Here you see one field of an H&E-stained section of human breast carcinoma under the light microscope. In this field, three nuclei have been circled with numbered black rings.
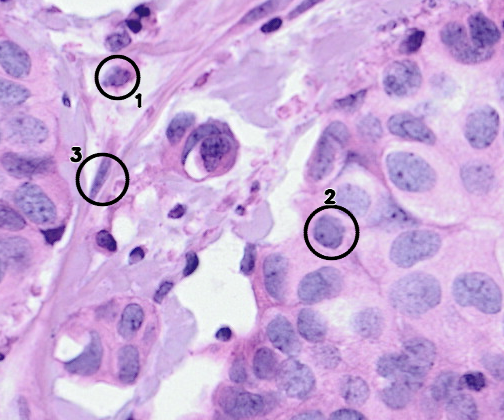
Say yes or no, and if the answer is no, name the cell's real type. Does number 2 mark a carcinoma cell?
Yes.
